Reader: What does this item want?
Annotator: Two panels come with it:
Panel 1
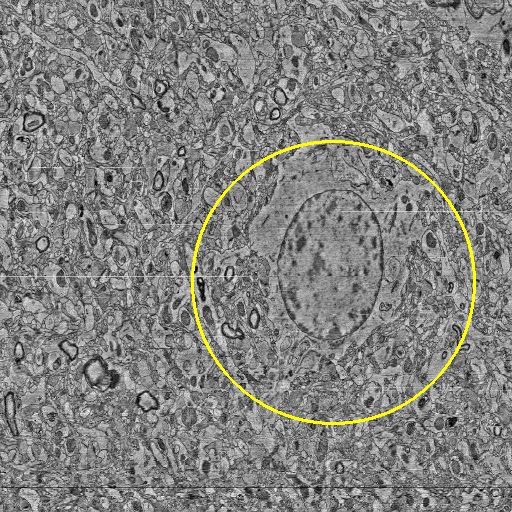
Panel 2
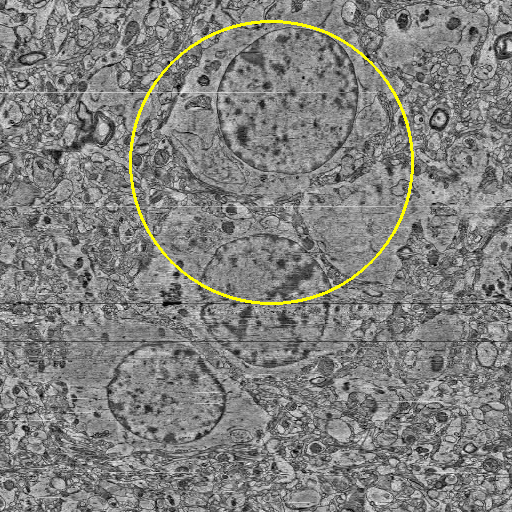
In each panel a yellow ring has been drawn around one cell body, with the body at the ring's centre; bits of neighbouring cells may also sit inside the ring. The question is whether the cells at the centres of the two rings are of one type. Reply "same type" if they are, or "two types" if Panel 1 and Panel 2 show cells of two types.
same type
